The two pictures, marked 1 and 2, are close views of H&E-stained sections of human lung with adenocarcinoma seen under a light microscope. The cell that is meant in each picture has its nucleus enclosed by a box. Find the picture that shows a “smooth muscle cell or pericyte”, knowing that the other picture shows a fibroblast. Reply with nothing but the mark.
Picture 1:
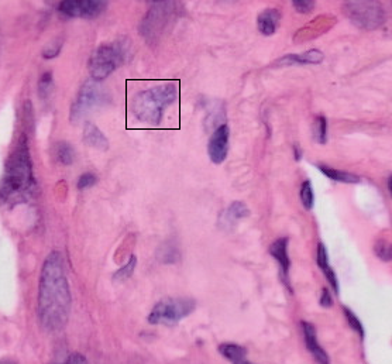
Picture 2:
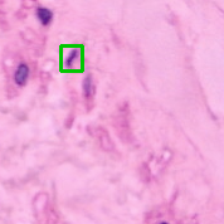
2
